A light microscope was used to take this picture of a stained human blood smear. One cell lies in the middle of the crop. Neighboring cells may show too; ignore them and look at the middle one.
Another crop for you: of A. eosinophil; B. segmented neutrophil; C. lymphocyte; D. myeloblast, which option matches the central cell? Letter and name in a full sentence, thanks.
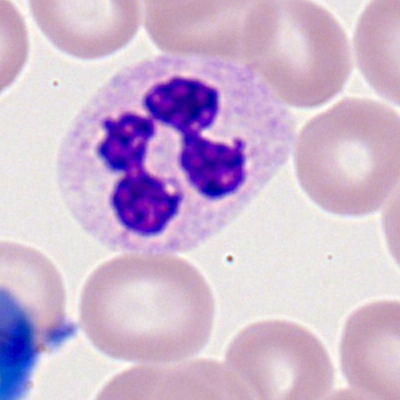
The middle of the crop contains a segmented neutrophil, so option B is right.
